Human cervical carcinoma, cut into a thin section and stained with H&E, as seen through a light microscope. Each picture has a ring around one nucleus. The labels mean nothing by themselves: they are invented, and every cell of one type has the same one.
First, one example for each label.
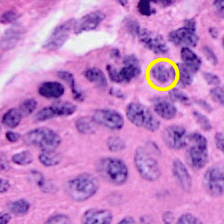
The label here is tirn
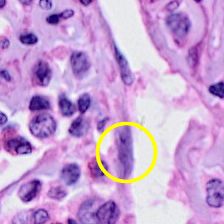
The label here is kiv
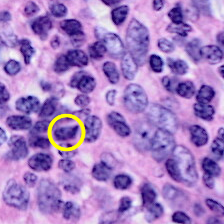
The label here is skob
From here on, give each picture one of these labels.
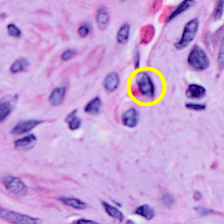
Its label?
kiv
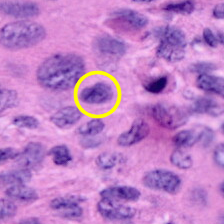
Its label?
tirn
